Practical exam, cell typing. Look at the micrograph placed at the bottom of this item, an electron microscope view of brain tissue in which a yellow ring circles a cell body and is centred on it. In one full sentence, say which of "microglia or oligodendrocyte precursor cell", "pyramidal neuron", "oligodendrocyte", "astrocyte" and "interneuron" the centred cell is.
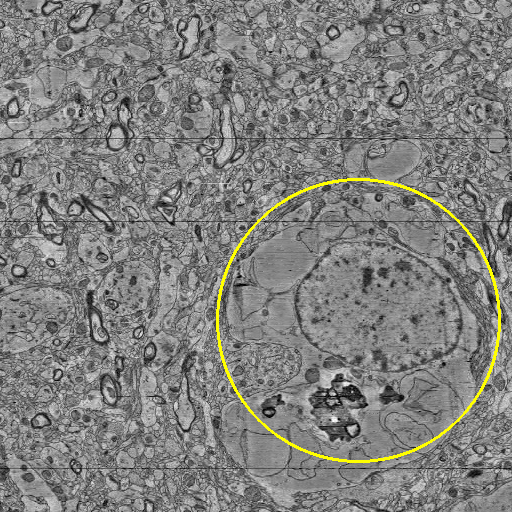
Given the options, an astrocyte fits the cell whose body the yellow ring is centred on.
